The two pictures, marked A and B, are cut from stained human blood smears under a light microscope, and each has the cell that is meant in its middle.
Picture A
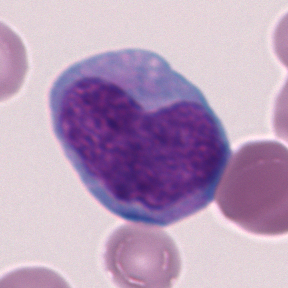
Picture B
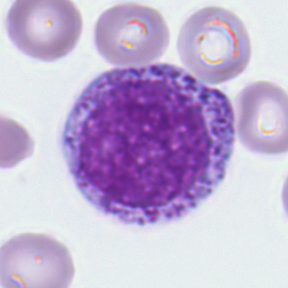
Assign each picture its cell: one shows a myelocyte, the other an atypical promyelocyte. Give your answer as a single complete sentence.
It is picture A that shows an atypical promyelocyte, and picture B that shows a myelocyte.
